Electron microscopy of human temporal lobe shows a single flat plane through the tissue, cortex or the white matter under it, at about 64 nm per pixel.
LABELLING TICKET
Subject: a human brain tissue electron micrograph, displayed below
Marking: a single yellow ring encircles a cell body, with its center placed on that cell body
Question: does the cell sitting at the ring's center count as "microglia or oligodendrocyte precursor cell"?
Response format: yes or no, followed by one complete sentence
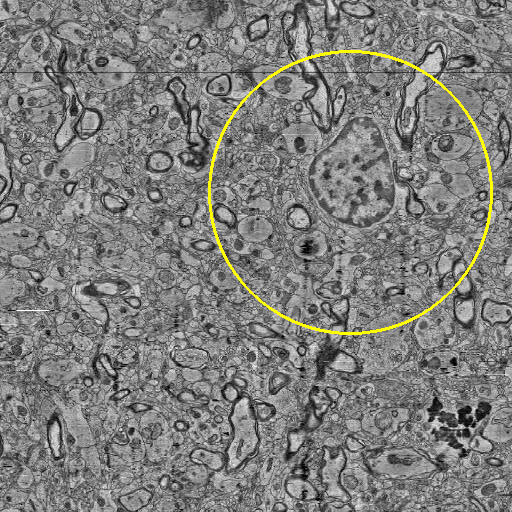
Yes, the cell at the center of the ring in the picture is of that kind.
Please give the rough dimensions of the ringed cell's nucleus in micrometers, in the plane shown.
Approximately 7 micrometres long and 6 micrometres wide, in this plane.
